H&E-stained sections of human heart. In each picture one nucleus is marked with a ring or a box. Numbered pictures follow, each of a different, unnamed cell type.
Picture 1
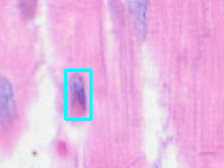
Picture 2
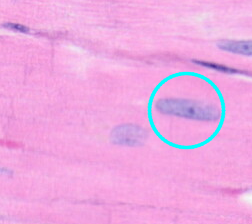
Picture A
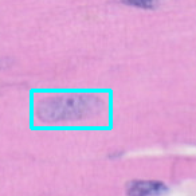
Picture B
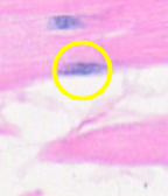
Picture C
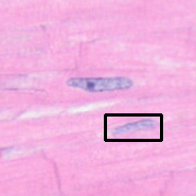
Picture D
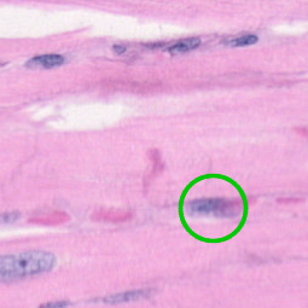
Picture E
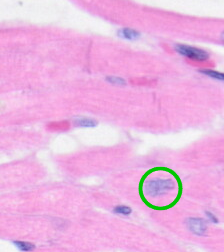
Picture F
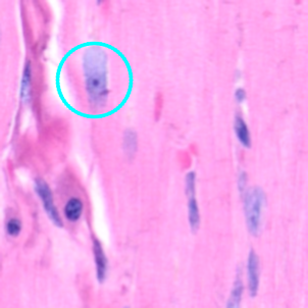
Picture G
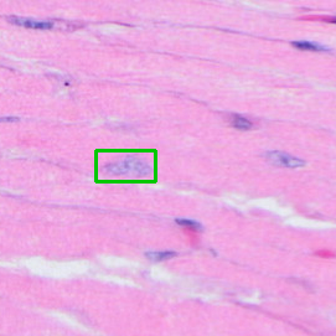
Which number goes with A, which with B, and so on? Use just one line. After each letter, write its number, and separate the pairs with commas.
A 2, B 1, C 2, D 1, E 2, F 2, G 2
